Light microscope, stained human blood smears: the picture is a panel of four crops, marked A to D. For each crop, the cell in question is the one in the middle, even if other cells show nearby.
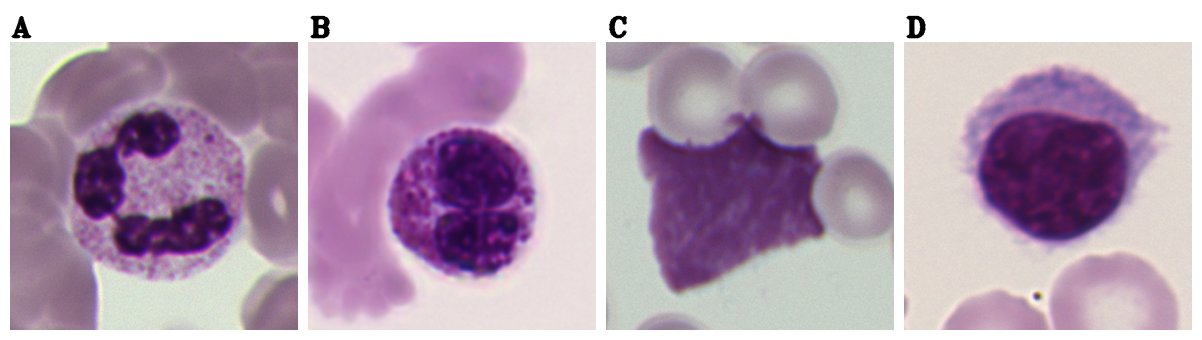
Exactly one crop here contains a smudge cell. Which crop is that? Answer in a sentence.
Of all the crops, crop C is the one showing a smudge cell.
